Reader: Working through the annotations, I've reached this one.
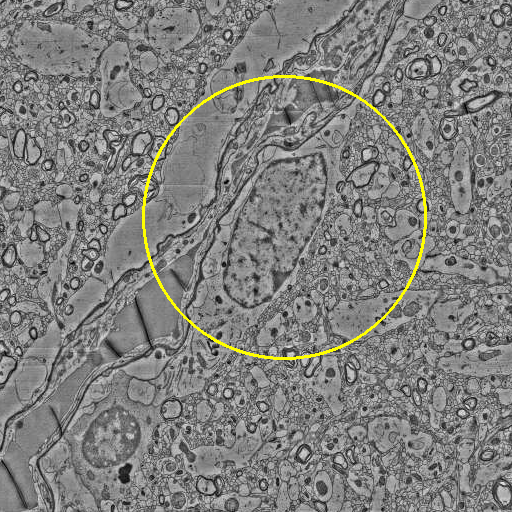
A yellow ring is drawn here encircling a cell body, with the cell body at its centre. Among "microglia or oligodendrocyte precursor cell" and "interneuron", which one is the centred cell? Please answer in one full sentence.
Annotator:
The cell body at the centre of the yellow ring in this image belongs to a microglial cell or oligodendrocyte precursor cell.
